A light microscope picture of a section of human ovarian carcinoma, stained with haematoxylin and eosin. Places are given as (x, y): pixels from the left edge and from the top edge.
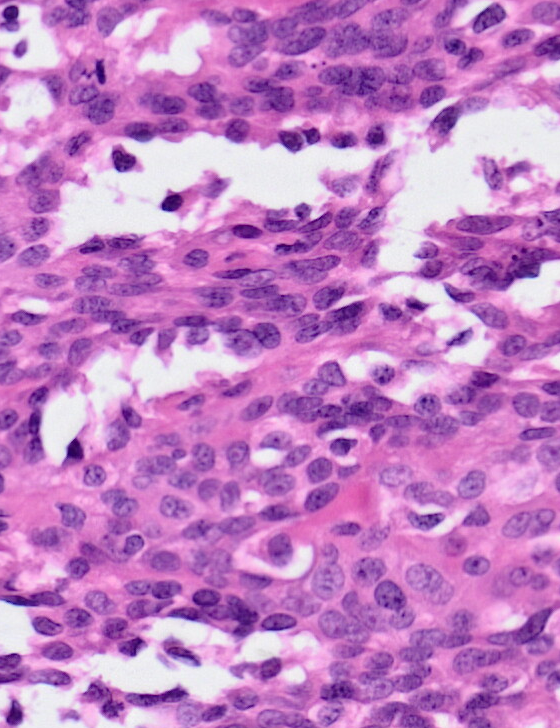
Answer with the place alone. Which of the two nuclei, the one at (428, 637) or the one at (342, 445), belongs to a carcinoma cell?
(428, 637)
